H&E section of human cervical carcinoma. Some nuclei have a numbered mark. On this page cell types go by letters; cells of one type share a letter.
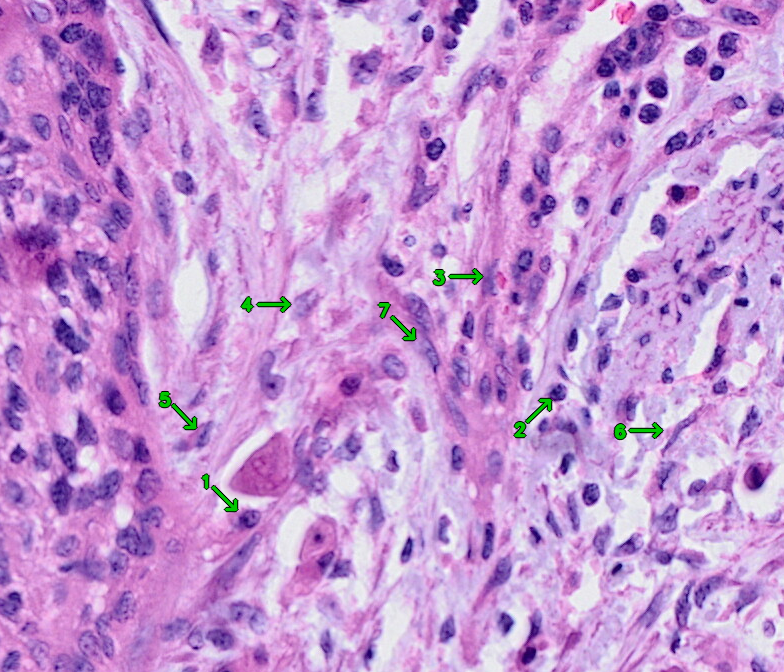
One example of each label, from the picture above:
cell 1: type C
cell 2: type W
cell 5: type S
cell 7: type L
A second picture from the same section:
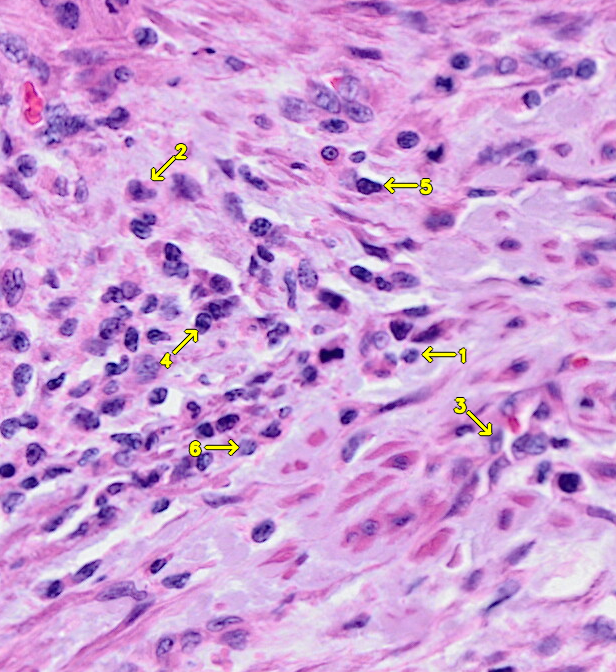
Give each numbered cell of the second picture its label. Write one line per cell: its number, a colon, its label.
1: type W
2: type C
3: type L
4: type W
5: type W
6: type W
